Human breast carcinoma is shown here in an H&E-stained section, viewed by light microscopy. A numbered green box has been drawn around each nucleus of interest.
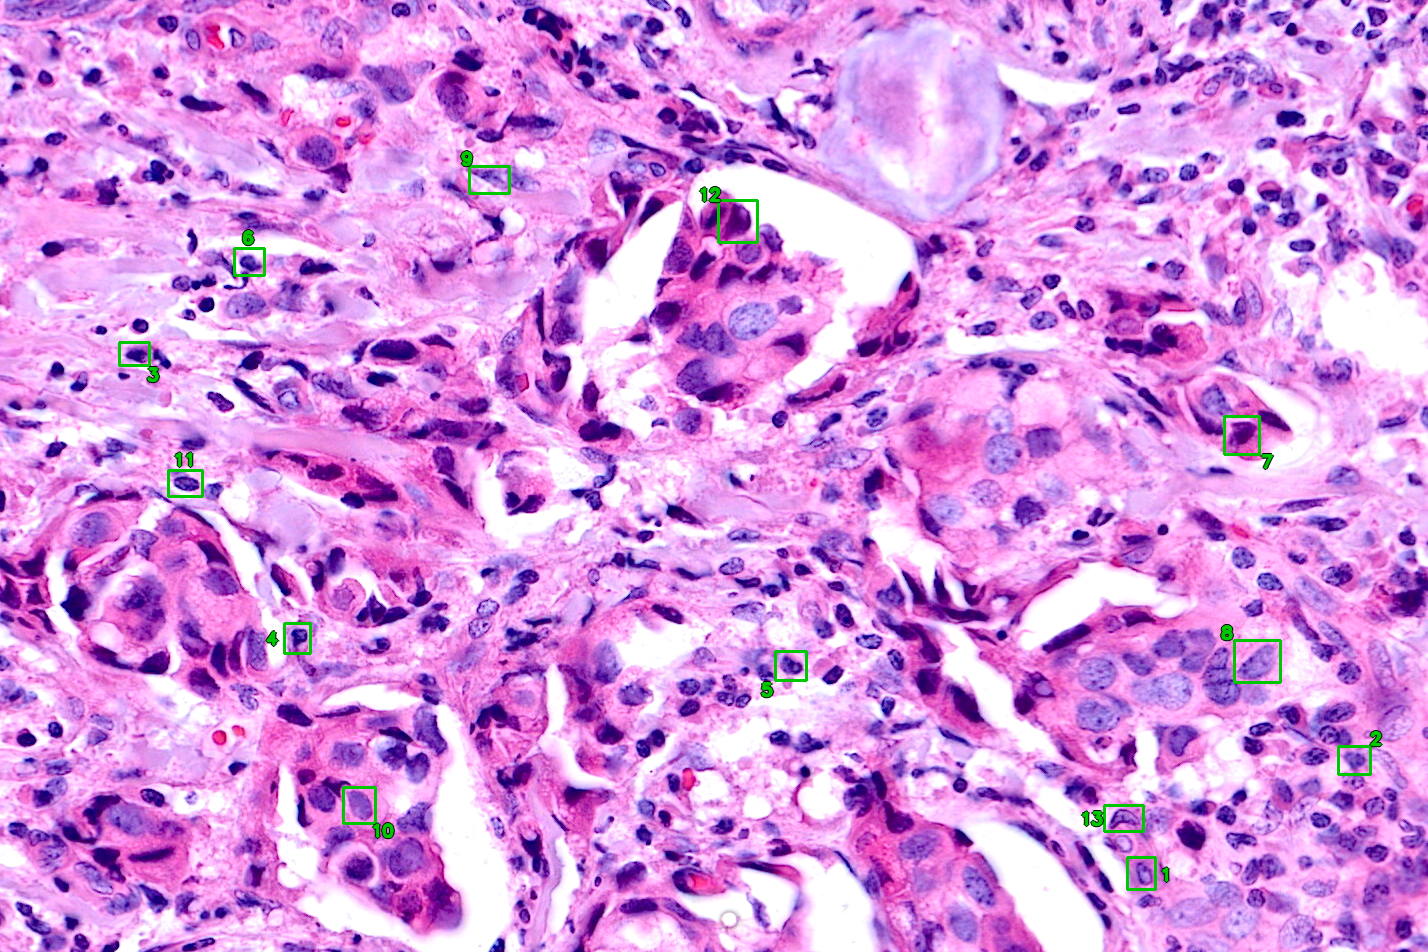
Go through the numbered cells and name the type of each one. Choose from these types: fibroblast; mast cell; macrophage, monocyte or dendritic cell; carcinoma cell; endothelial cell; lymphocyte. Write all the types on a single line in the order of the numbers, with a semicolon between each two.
endothelial cell; lymphocyte; lymphocyte; lymphocyte; lymphocyte; lymphocyte; carcinoma cell; carcinoma cell; fibroblast; carcinoma cell; lymphocyte; carcinoma cell; endothelial cell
